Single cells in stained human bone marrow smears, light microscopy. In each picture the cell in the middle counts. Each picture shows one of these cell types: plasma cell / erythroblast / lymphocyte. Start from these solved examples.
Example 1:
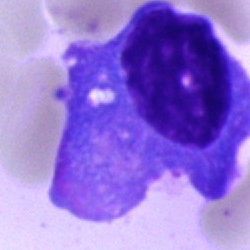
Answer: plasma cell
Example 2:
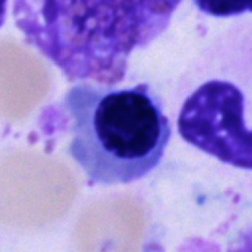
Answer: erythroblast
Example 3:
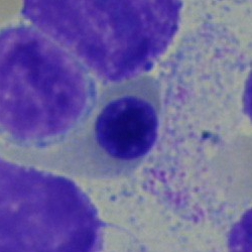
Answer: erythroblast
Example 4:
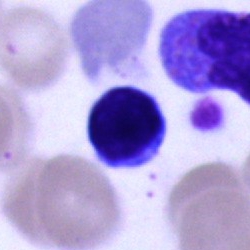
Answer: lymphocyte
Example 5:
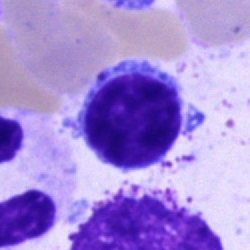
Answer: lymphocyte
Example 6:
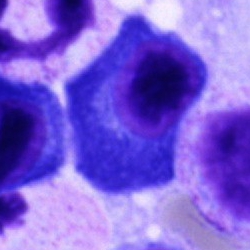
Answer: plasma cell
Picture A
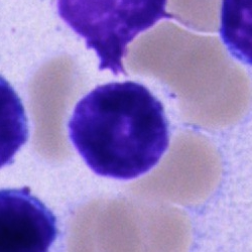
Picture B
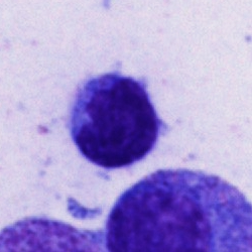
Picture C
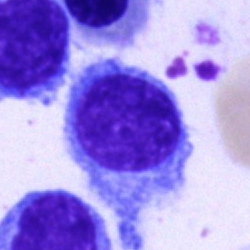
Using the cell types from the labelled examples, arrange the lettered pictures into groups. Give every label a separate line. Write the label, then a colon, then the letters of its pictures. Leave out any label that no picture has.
lymphocyte: A, B, C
